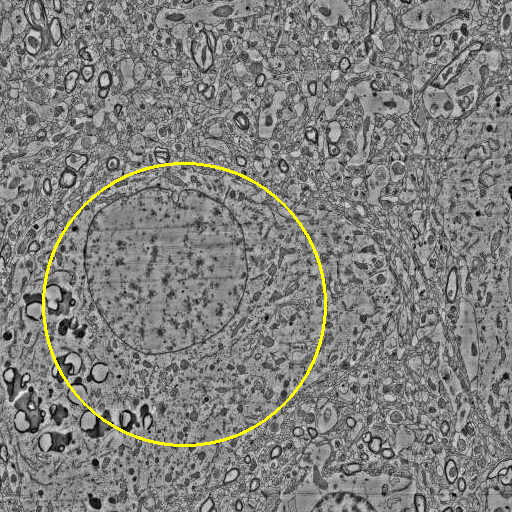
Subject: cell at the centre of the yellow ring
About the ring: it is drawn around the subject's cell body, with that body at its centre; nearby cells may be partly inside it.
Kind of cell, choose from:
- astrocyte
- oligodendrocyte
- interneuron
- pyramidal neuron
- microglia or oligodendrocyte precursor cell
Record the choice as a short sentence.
The subject cell is a pyramidal neuron.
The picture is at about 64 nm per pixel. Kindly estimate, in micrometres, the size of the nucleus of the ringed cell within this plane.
About 11 micrometres across in this plane.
